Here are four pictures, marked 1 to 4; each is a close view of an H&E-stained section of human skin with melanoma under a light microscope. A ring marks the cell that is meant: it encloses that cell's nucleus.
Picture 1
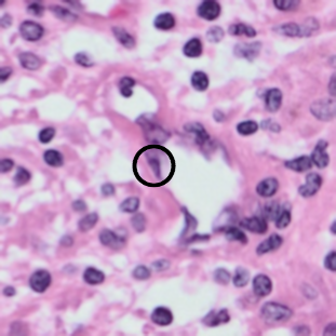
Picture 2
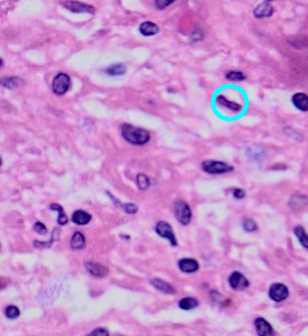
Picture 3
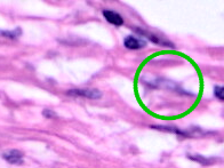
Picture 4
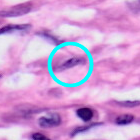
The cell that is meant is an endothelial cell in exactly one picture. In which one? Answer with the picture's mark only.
1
